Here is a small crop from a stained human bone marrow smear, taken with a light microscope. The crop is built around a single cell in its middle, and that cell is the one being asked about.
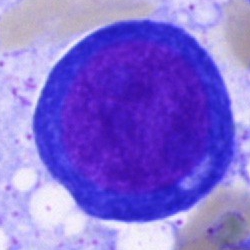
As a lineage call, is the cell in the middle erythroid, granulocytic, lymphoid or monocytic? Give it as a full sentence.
Lineage assignment for the central cell is erythroid.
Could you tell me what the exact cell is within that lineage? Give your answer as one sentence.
The cell nearest the centre of this crop is a proerythroblast.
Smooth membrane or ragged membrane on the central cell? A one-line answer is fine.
Happy to help: the outline is smooth and shows no projections.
